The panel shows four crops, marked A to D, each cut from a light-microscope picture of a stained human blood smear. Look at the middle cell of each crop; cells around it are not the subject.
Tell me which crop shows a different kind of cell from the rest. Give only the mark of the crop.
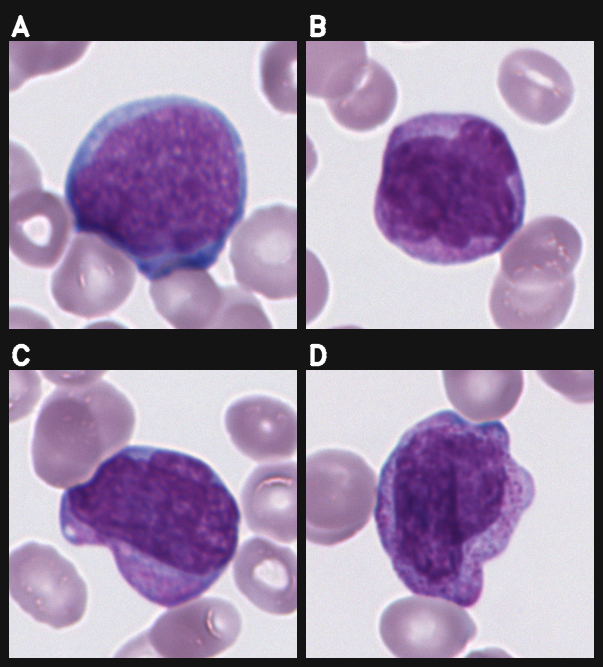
A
